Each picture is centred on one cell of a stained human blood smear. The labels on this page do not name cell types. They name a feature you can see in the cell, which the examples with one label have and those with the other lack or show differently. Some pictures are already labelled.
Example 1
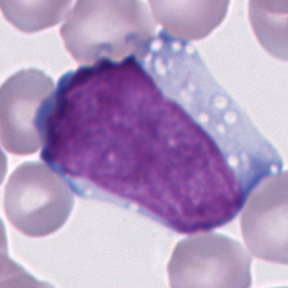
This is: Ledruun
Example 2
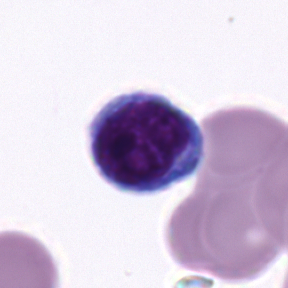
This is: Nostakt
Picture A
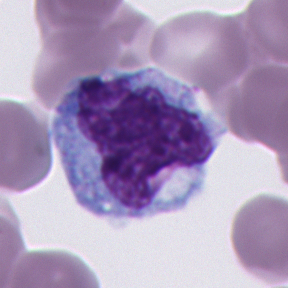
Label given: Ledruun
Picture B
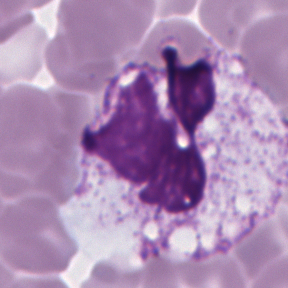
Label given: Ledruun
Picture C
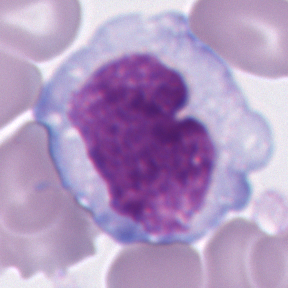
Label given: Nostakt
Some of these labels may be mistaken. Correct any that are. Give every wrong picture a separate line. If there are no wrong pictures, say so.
C: not Nostakt but Ledruun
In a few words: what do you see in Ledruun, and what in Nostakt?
Seen in Ledruun: abundant cytoplasm; seen in Nostakt: scant cytoplasm.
